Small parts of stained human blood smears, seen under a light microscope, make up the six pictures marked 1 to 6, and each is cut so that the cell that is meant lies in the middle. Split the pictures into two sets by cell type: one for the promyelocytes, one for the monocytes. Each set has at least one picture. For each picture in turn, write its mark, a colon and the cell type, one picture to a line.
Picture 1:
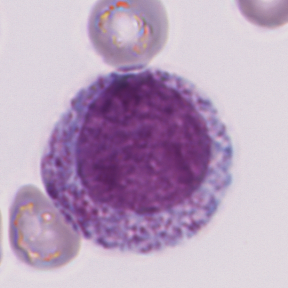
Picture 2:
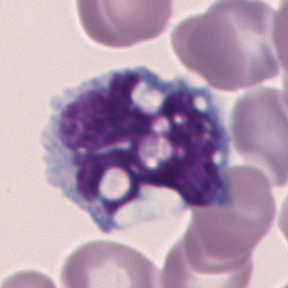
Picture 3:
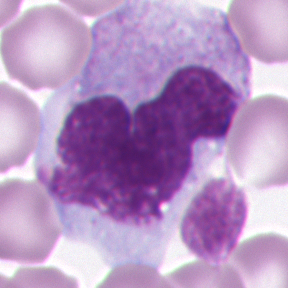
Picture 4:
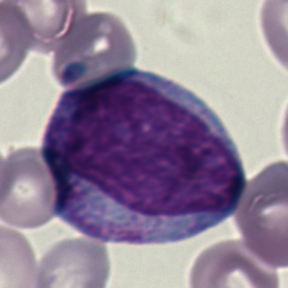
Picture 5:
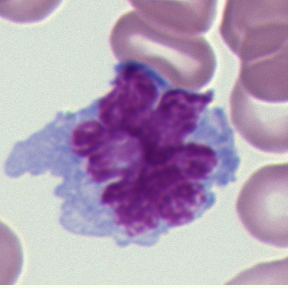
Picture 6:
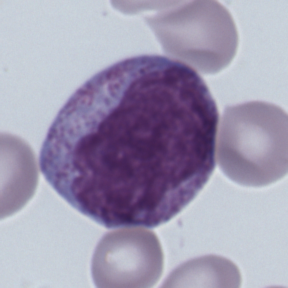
1: promyelocyte
2: monocyte
3: monocyte
4: promyelocyte
5: monocyte
6: promyelocyte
